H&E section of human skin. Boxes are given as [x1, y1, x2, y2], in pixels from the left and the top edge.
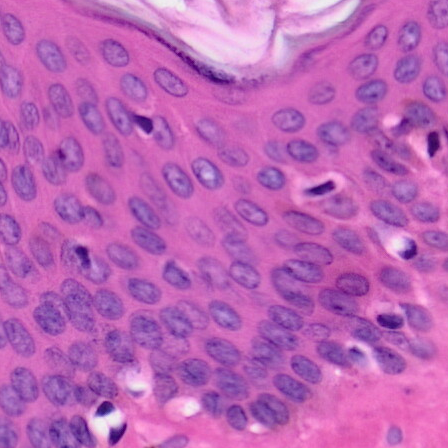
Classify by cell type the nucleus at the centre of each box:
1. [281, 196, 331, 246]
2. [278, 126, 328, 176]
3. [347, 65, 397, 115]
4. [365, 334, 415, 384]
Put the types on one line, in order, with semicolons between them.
suprabasal keratinocyte; suprabasal keratinocyte; suprabasal keratinocyte; basal keratinocyte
